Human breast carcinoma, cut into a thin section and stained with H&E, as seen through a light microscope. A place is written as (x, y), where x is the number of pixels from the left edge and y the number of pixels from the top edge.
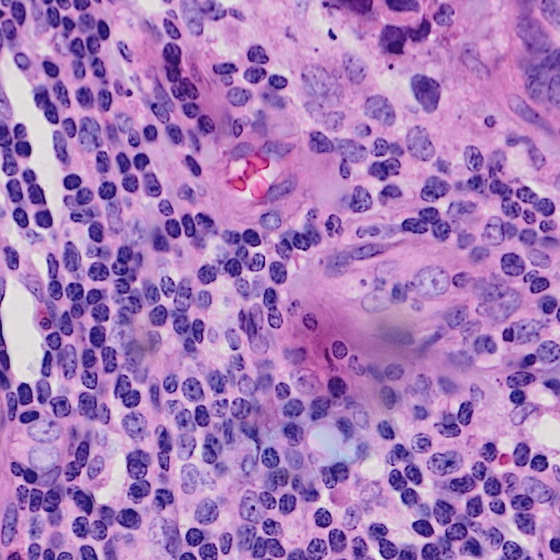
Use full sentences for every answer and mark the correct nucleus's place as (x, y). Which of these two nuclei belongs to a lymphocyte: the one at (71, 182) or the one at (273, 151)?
Between the pair, the nucleus at (71, 182) belongs to a lymphocyte.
